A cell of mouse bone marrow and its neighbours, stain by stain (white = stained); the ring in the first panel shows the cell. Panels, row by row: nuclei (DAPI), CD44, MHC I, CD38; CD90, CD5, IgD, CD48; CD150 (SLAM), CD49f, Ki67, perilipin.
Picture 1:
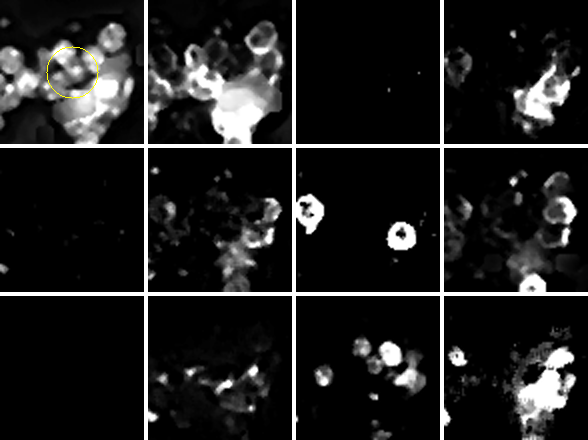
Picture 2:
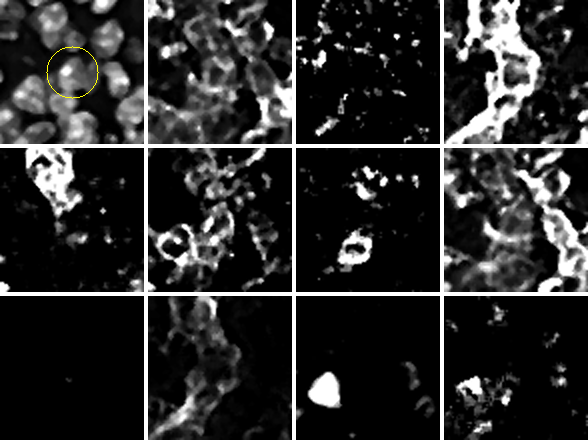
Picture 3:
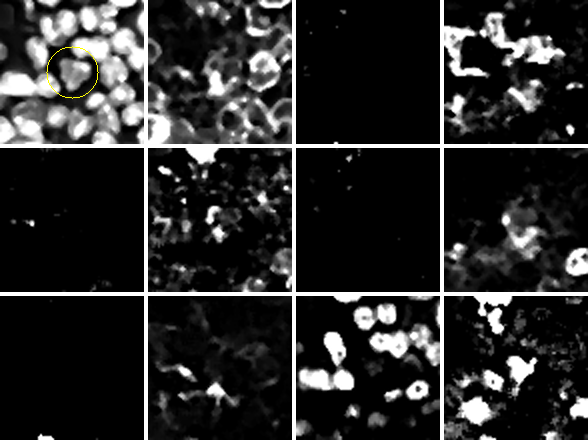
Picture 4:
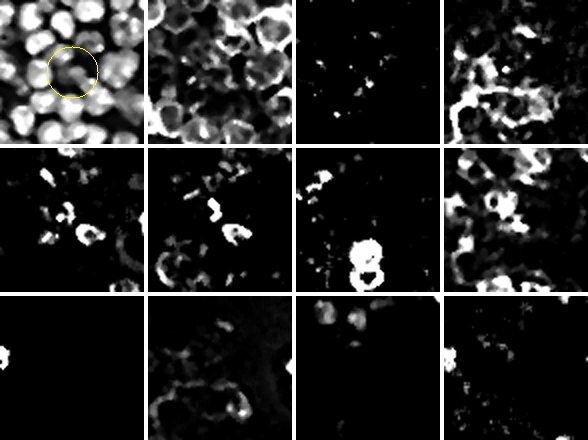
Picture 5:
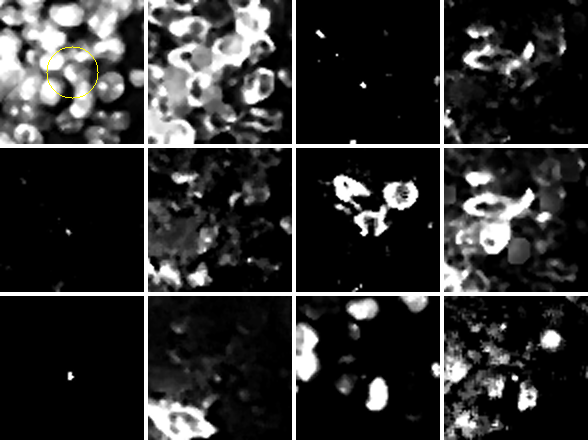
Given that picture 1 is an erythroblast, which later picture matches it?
3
